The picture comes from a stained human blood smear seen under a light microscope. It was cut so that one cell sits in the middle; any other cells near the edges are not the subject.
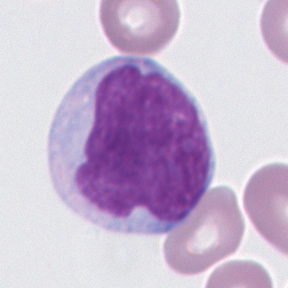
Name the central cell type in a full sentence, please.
The cell in the middle of the field of view is an atypical promyelocyte.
